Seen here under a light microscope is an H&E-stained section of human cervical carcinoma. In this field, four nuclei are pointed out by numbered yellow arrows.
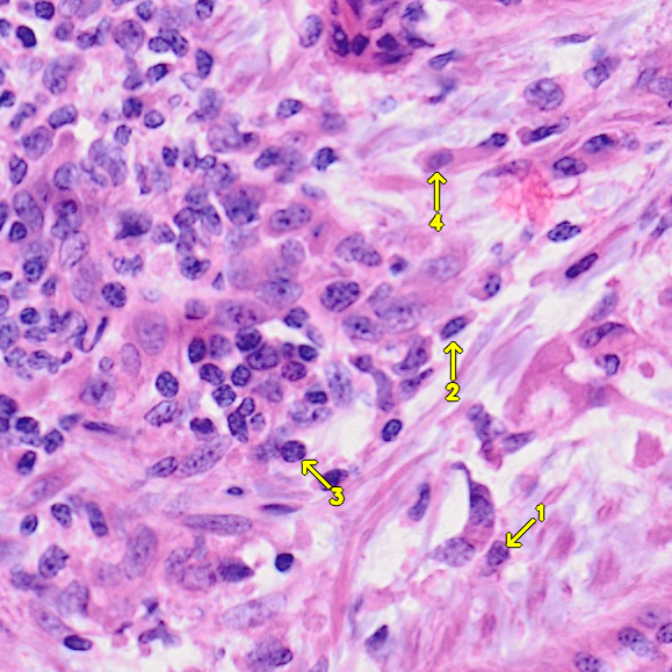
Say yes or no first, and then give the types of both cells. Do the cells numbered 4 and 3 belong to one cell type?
No, cell 3 is a lymphocyte, and cell 4 is a macrophage or monocyte.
